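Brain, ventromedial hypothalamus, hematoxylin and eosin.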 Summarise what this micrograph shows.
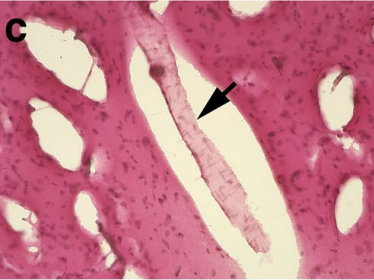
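The background tissue is pink neuropil with scattered small, dark, round nuclei. Several large, empty, white oval spaces are scattered through the tissue. In the centre, an elongated vessel segment runs diagonally within a long clear channel. The vessel has a pale pink wall with fine transverse striations and is separated from the surrounding tissue by the clear gap.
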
